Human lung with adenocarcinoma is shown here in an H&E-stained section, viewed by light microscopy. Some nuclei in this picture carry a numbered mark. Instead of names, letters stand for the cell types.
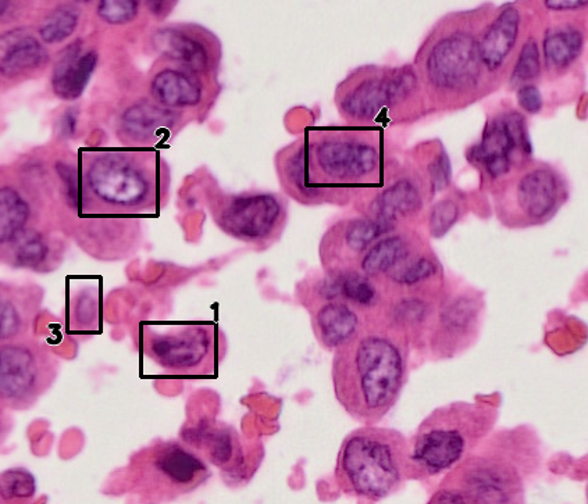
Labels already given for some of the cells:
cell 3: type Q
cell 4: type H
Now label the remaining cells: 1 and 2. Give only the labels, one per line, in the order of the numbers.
type H
type H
